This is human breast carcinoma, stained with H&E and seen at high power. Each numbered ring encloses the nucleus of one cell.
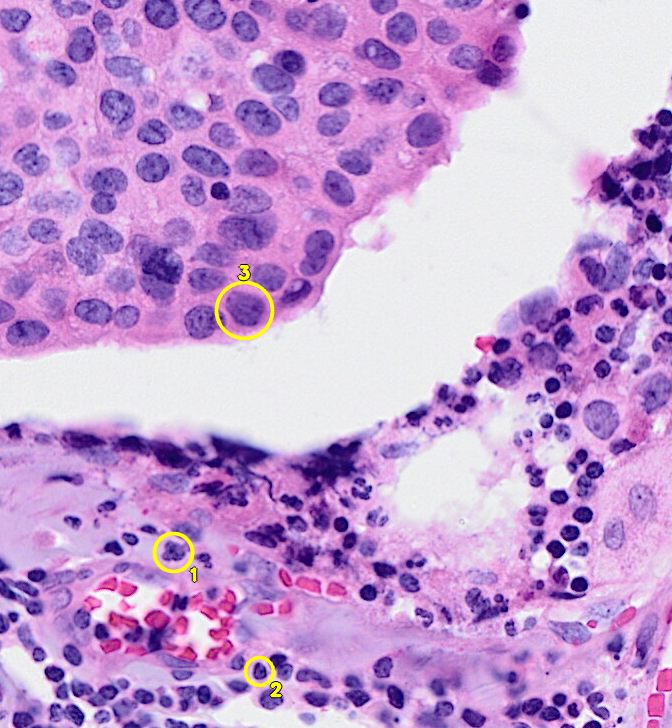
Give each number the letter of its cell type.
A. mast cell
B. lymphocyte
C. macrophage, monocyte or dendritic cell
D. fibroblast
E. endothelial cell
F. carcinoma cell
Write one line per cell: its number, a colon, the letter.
1: B
2: B
3: F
